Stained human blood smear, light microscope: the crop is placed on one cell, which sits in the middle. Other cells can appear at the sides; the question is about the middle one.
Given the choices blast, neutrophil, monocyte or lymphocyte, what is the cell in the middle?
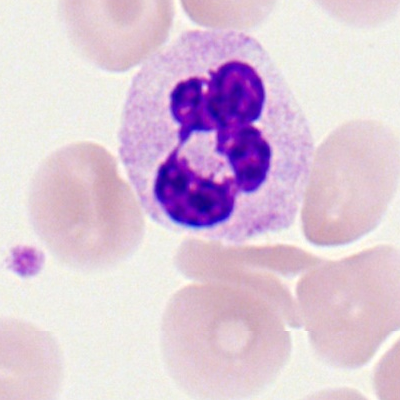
neutrophil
